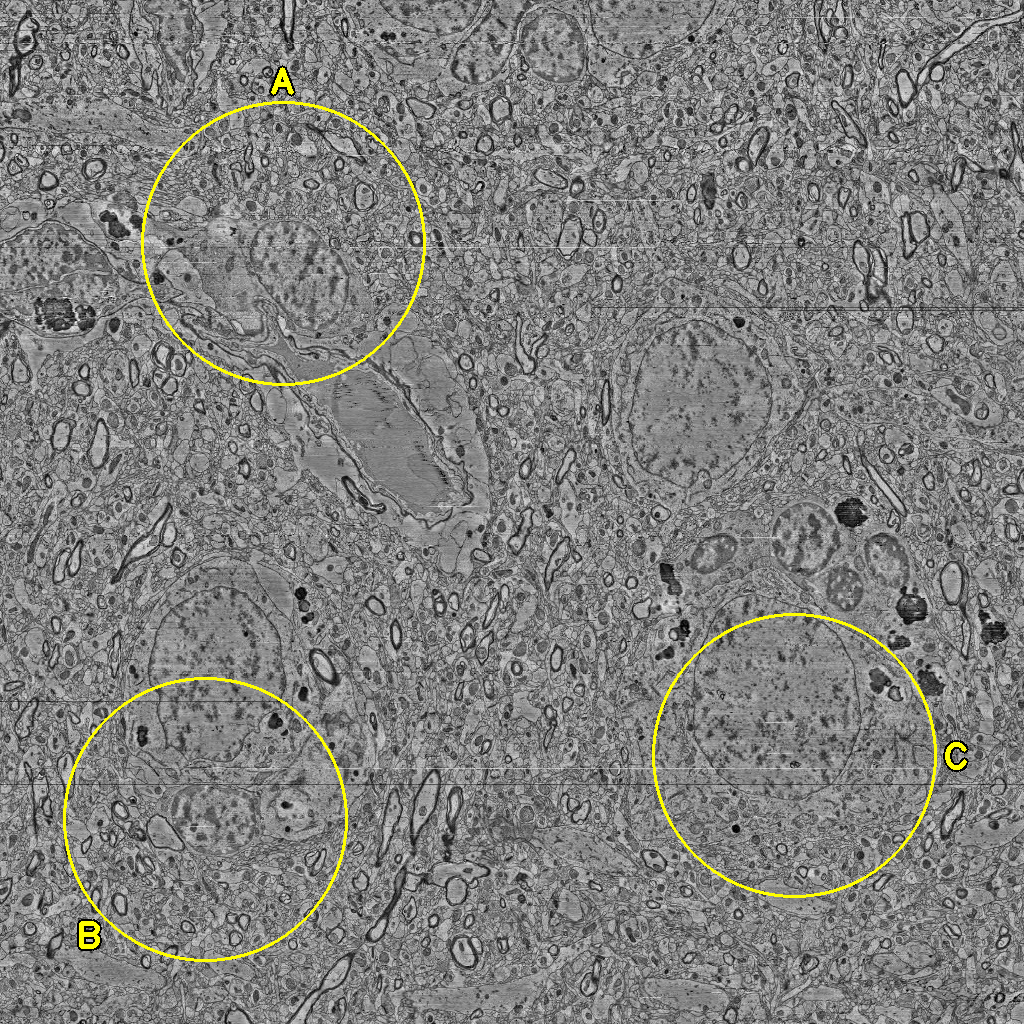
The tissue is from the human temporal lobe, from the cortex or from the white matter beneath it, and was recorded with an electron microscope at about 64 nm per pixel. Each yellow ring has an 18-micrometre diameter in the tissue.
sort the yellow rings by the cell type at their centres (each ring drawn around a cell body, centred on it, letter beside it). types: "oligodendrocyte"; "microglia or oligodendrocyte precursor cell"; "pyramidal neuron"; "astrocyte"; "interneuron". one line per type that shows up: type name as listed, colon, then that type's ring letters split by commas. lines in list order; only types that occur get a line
oligodendrocyte: A, B
pyramidal neuron: C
